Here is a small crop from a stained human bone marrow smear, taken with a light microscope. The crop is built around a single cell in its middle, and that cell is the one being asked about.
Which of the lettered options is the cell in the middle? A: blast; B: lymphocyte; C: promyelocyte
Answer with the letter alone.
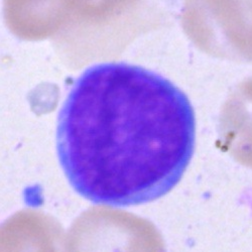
A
